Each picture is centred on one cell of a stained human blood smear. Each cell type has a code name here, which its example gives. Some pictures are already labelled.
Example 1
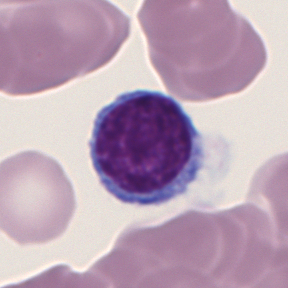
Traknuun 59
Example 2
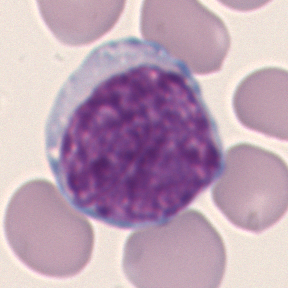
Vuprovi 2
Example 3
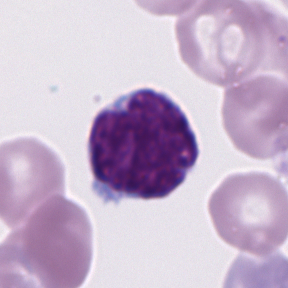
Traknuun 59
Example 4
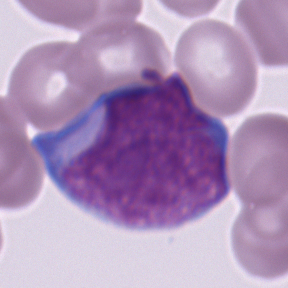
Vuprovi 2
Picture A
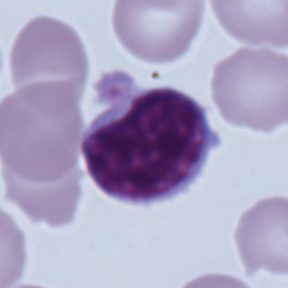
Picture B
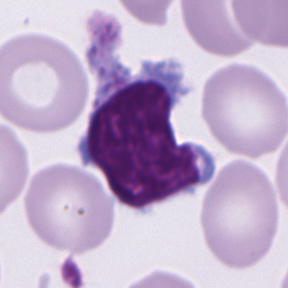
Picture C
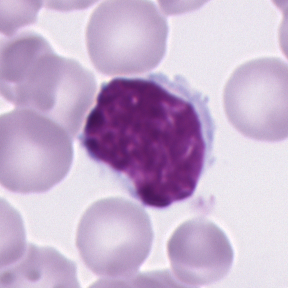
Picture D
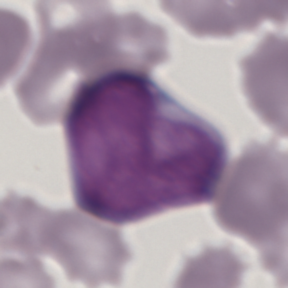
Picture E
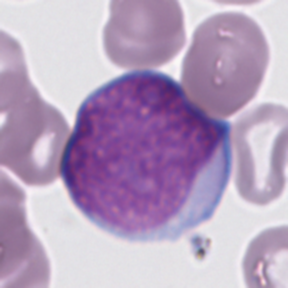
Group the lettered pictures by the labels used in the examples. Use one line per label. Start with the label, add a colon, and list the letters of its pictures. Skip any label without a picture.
Traknuun 59: A, B, C
Vuprovi 2: D, E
